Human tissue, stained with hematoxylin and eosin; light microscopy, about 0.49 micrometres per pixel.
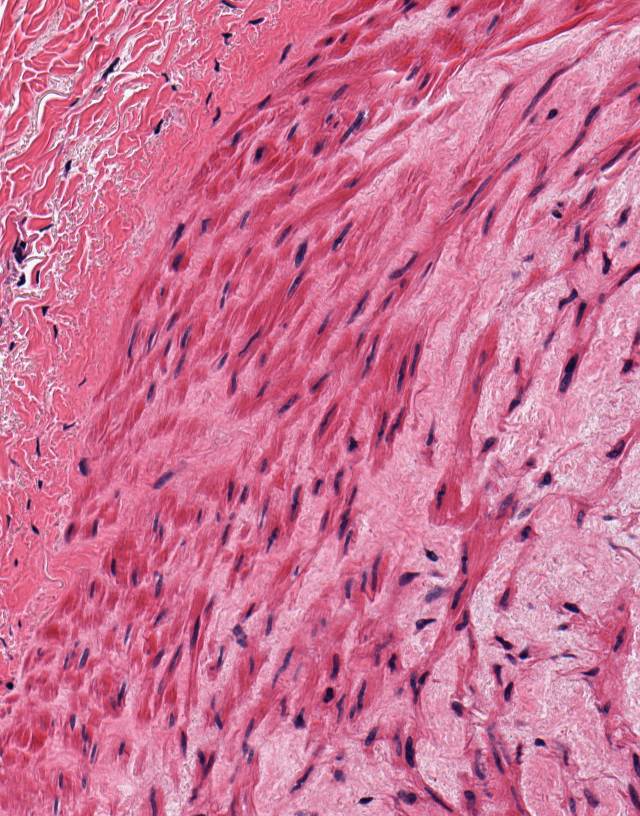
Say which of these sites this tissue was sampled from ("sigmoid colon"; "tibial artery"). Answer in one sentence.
The site this tissue was sampled from is the tibial artery.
